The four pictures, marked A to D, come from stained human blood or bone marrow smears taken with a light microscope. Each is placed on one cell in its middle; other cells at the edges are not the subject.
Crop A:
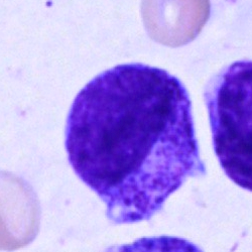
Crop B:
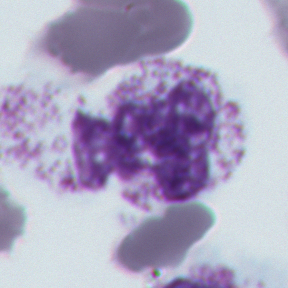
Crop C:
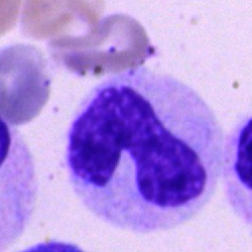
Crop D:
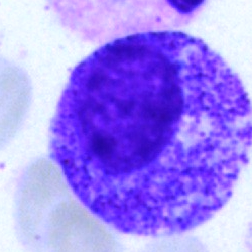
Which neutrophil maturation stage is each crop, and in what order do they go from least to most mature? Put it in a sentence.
Arranging the cells from least to most mature gives crop A (a promyelocyte), crop D (a myelocyte), crop C (a band neutrophil) and crop B (a segmented neutrophil).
